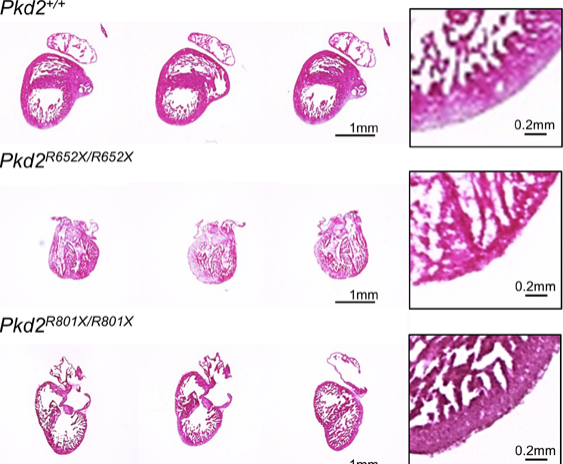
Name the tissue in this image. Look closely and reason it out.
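Hearts. Pink-stained sections of an organ with chambers enclosed by muscular walls. The inner part of the walls forms a spongy meshwork of thin strands around open spaces. The magnified windows show a solid outer wall layer with strands running inward from it.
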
